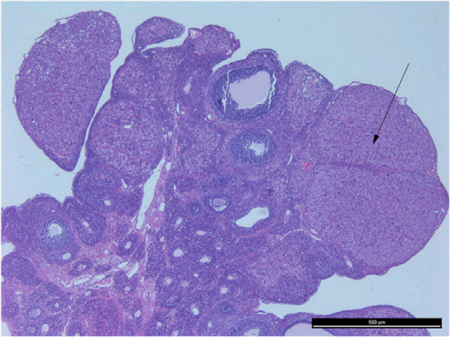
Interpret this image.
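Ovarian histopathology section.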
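This section of ovary is dominated by several large, solid, rounded masses of pink-staining tissue, the corpora lutea. Each mass is made of densely packed cells with abundant pink cytoplasm and small purple nuclei, with no central cavity. Between them lie smaller follicles with purple granulosa cell layers and some with a fluid-filled antrum. Loose stroma and thin strands of connective tissue separate the structures, and a thin red streak crosses the largest mass.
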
